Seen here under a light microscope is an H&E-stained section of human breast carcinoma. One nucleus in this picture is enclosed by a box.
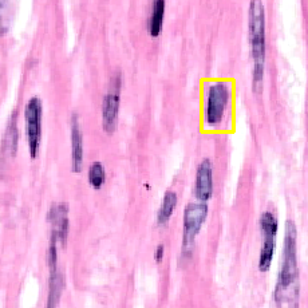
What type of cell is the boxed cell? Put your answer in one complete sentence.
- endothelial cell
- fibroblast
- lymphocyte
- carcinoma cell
Among the cells in this section, the boxed cell is a lymphocyte.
